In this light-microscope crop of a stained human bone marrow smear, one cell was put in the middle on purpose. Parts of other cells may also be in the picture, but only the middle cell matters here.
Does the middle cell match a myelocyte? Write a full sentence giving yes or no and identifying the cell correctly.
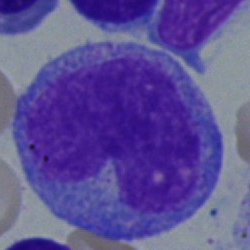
No, the correct answer for the middle cell is a promyelocyte, not a myelocyte.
